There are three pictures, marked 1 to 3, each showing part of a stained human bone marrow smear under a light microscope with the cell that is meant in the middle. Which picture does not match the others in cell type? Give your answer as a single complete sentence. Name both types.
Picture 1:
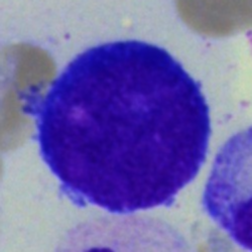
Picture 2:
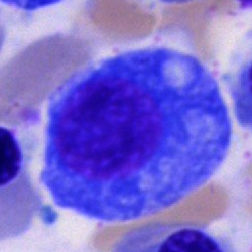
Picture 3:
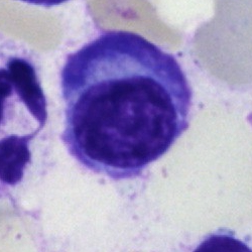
All pictures except 1 show plasma cells; picture 1 shows a proerythroblast.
